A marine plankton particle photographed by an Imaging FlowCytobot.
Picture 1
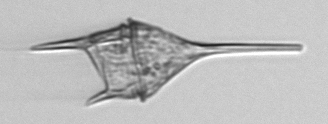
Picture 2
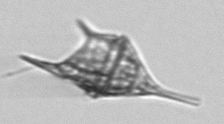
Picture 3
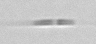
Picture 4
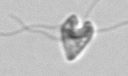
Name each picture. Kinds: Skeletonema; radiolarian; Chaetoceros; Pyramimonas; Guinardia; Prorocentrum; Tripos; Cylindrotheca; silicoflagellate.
Picture 1: Tripos
Picture 2: Tripos
Picture 3: Cylindrotheca
Picture 4: Pyramimonas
